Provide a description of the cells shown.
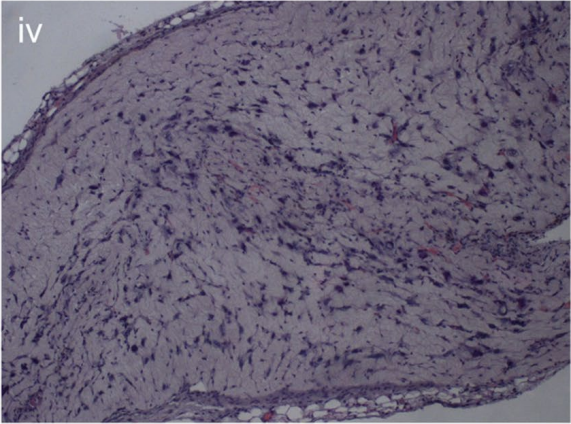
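Many small, dark purple, elongated to spindle-shaped nuclei lie scattered through it, mostly aligned with the fibres. A few small red-stained deposits lie among them. A thin band of empty, rounded vacuolated spaces runs along the outer edges of the section.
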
